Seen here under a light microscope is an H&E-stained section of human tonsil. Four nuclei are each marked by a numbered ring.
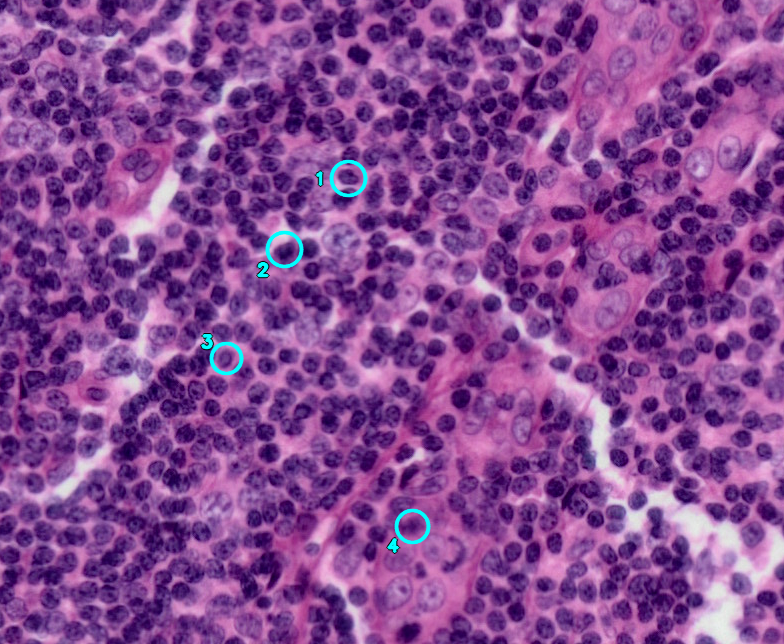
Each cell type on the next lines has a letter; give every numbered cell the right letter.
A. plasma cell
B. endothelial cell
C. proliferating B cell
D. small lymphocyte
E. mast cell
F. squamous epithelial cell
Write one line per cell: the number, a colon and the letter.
1: D
2: D
3: D
4: B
